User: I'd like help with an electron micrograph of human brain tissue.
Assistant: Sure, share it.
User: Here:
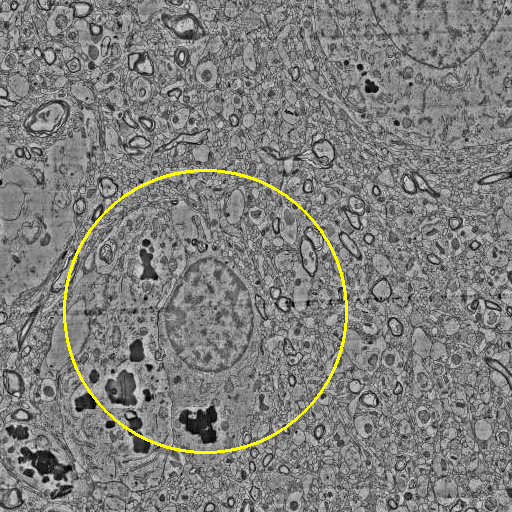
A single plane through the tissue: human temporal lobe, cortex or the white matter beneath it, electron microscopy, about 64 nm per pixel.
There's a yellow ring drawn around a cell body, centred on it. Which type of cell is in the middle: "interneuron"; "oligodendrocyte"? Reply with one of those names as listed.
oligodendrocyte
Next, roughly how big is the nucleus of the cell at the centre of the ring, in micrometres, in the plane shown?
The nucleus of the ringed cell is approximately 7 by 6 micrometres in this plane.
